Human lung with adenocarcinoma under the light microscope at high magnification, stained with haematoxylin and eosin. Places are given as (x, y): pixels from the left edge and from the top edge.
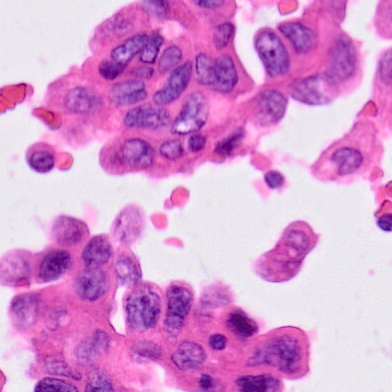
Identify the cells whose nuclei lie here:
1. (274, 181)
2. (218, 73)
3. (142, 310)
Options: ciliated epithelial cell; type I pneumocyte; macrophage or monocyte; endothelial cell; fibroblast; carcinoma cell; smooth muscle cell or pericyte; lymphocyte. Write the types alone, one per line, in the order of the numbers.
lymphocyte
carcinoma cell
carcinoma cell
